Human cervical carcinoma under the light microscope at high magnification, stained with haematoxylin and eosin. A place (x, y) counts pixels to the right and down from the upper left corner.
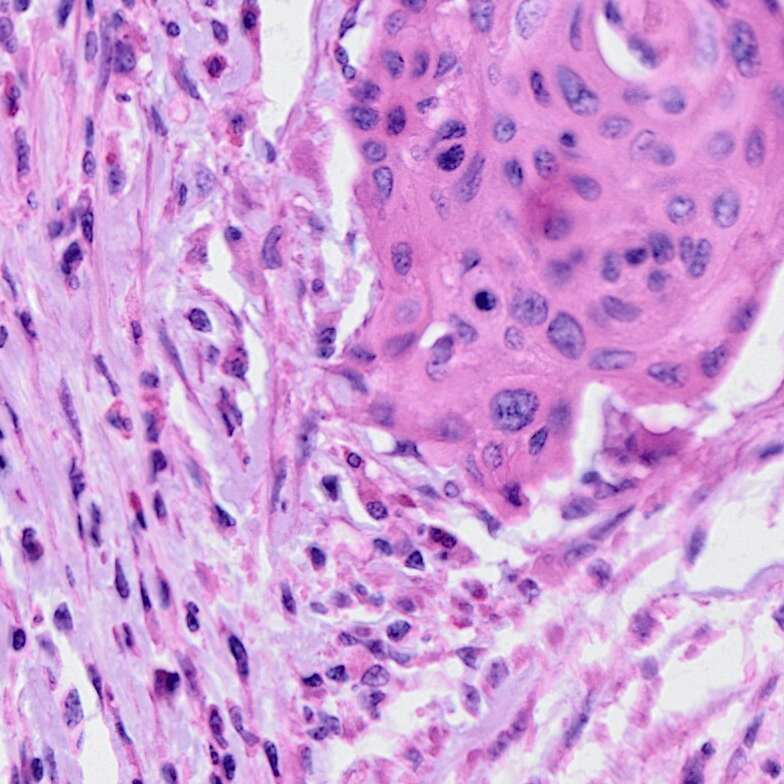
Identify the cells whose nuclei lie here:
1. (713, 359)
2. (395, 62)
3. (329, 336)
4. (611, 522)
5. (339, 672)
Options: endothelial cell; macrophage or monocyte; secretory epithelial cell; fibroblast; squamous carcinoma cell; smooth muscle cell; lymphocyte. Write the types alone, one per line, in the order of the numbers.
squamous carcinoma cell
squamous carcinoma cell
macrophage or monocyte
fibroblast
lymphocyte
